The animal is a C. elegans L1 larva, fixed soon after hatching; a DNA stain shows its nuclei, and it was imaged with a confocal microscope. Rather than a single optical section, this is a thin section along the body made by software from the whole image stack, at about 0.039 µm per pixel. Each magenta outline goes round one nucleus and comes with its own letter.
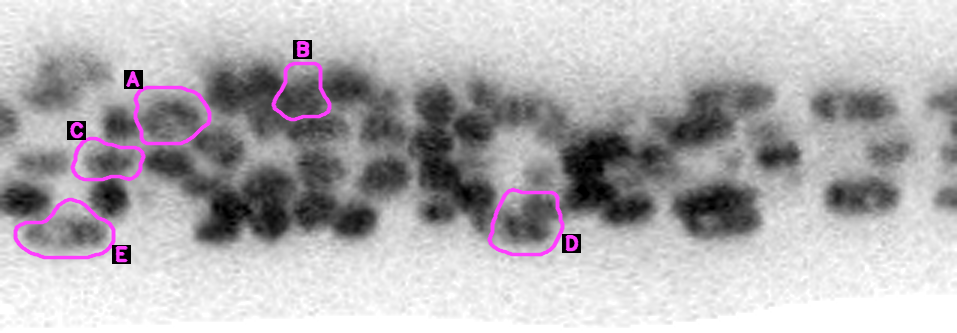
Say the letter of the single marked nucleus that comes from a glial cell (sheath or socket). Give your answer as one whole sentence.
The one from a glial cell (sheath or socket) is E.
